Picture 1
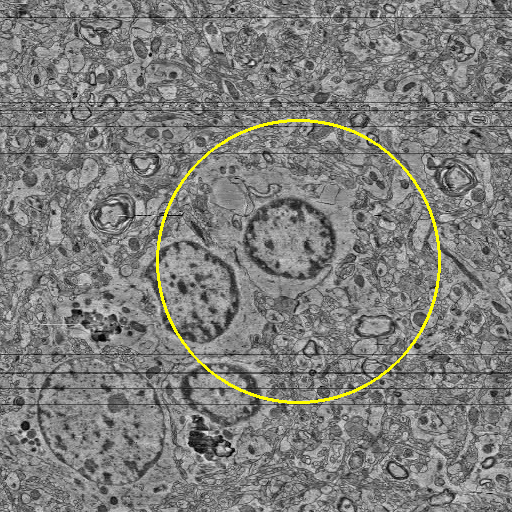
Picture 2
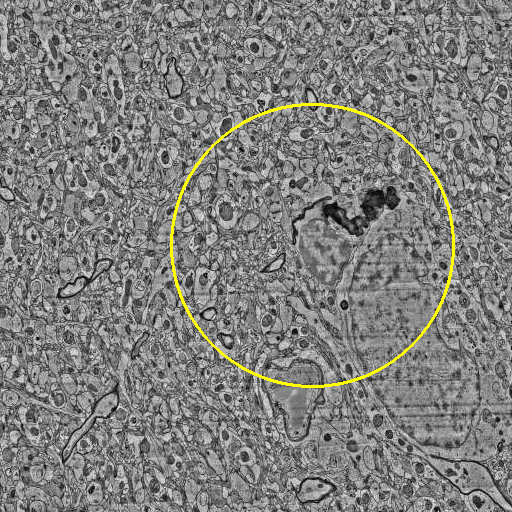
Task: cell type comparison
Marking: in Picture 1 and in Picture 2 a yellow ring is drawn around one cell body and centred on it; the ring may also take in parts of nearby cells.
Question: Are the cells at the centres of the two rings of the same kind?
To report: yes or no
no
